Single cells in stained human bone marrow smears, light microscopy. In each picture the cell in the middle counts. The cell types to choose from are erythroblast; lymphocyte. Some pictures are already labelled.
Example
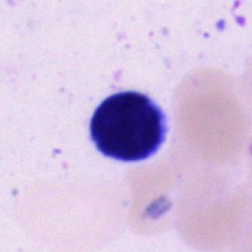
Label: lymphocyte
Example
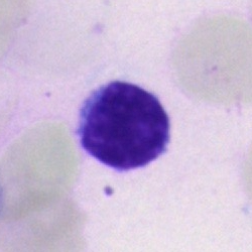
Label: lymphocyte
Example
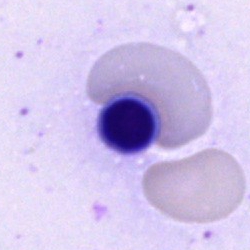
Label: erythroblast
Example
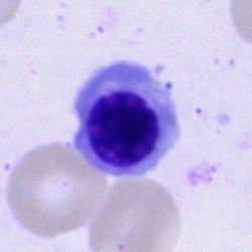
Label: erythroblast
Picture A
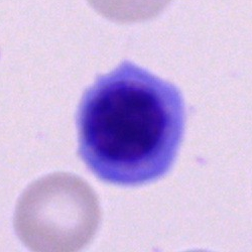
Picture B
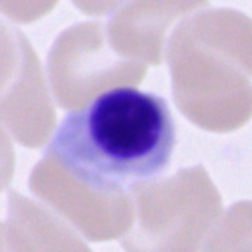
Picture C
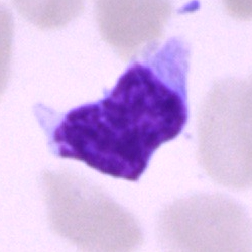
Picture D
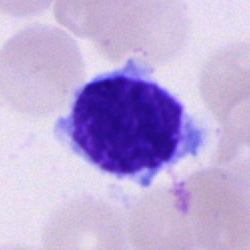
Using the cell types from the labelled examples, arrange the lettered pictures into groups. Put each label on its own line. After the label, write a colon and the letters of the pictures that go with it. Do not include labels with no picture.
erythroblast: A, B
lymphocyte: C, D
